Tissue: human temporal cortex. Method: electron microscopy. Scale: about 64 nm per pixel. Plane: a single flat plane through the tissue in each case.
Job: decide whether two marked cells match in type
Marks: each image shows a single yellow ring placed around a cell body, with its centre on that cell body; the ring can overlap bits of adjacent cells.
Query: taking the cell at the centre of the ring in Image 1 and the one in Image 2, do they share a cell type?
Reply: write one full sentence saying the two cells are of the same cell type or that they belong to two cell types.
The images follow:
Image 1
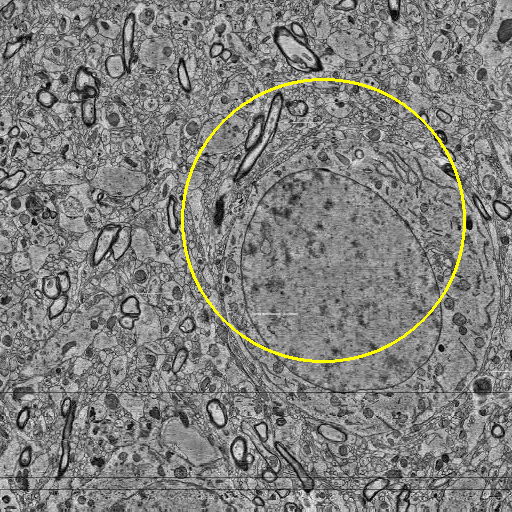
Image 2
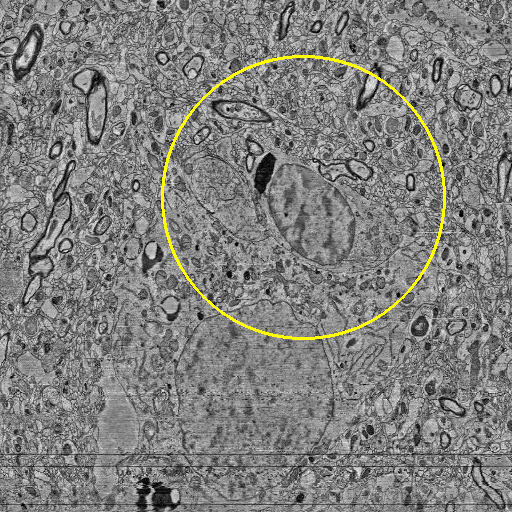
The cells at the ring centres in Image 1 and Image 2 belong to two cell types.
